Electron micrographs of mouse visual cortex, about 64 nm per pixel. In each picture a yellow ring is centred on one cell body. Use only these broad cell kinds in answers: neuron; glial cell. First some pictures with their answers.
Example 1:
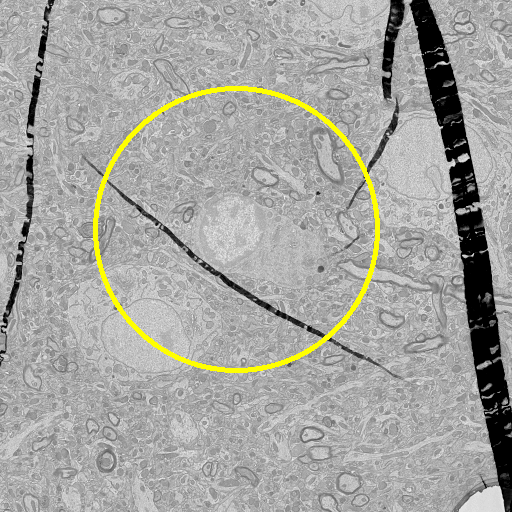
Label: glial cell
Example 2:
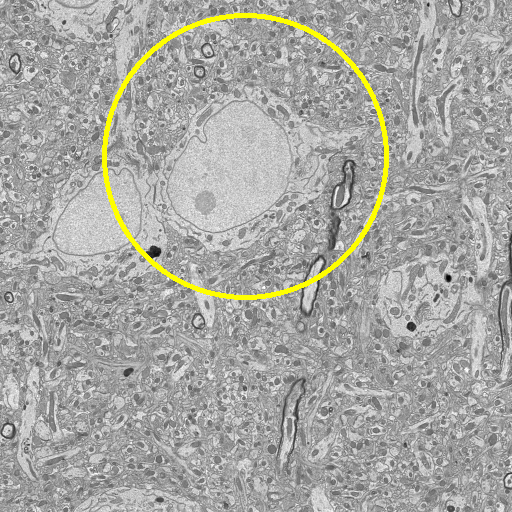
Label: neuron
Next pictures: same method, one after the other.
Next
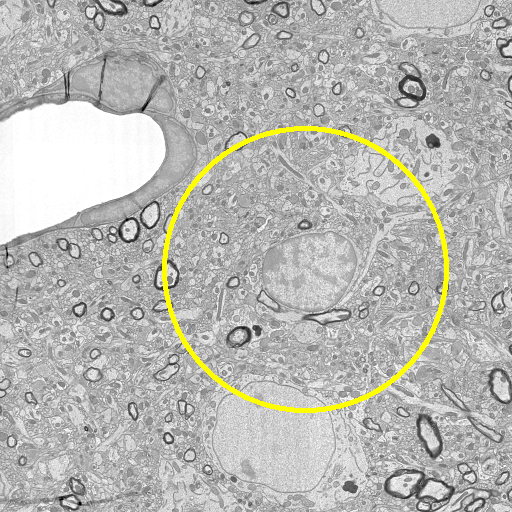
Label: glial cell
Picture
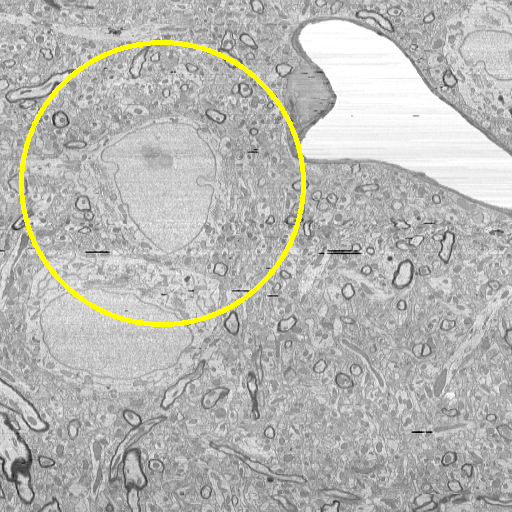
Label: neuron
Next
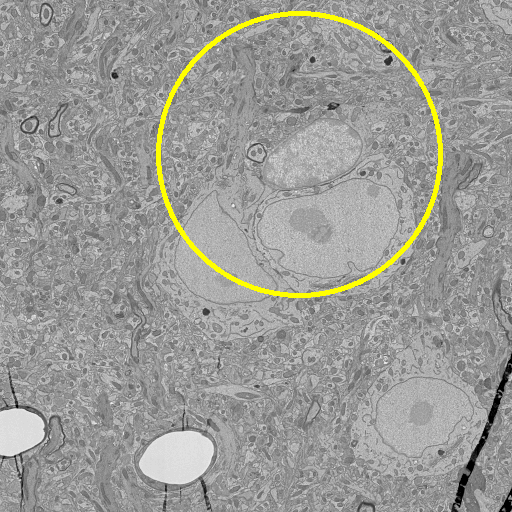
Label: glial cell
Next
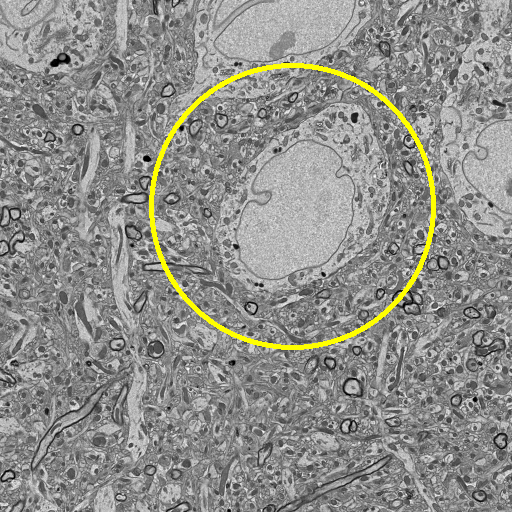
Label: neuron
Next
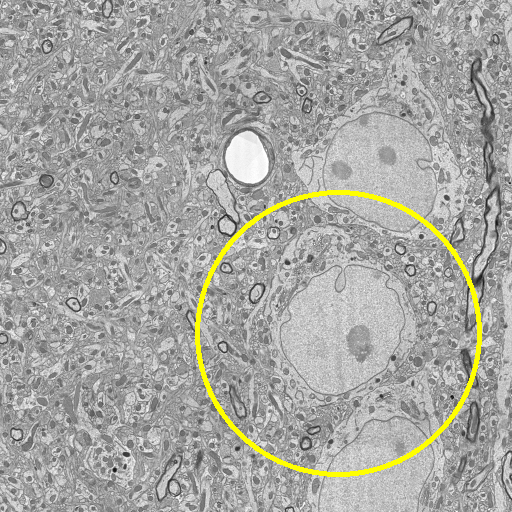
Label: neuron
